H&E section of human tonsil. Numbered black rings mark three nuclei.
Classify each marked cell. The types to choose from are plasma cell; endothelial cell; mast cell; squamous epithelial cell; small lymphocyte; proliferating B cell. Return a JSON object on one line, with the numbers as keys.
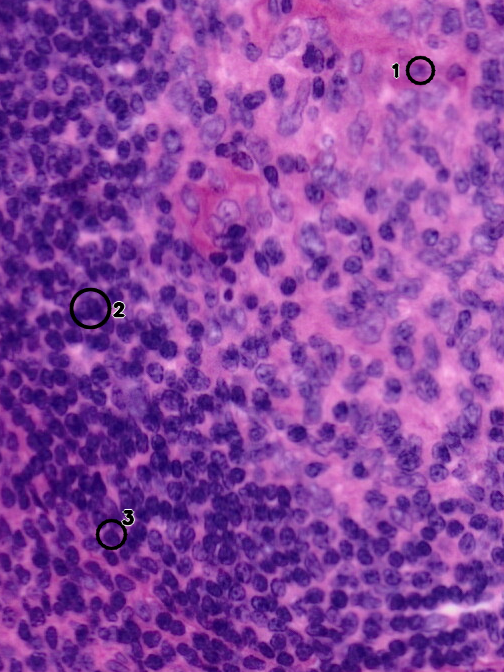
{"1": "endothelial cell", "2": "small lymphocyte", "3": "small lymphocyte"}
